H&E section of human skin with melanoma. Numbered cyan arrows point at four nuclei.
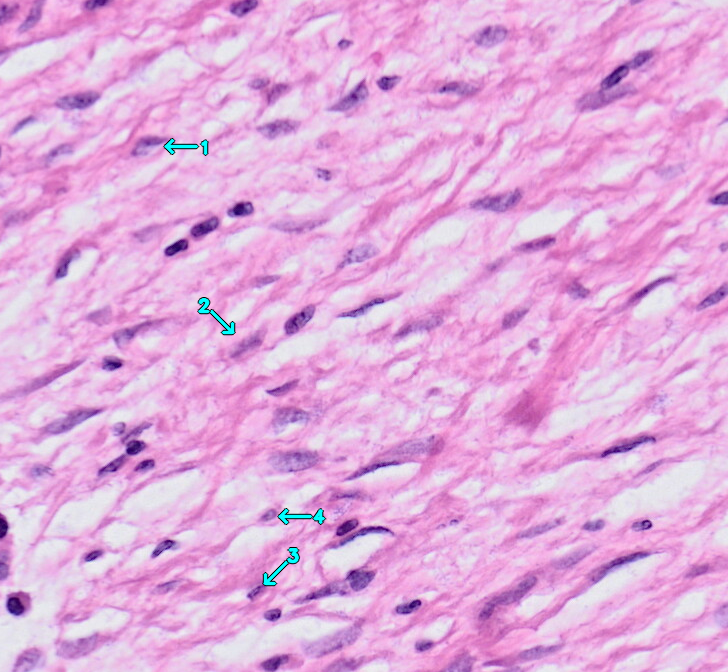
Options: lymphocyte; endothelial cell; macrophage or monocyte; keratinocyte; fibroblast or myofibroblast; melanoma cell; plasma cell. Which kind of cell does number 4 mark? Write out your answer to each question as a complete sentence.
The nucleus with number 4 is that of a macrophage or monocyte.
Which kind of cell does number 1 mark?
Cell 1 of the marked set is a fibroblast or myofibroblast.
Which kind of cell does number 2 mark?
The cell with the number 2 is a fibroblast or myofibroblast.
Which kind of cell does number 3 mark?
The nucleus labelled 3 belongs to a fibroblast or myofibroblast.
